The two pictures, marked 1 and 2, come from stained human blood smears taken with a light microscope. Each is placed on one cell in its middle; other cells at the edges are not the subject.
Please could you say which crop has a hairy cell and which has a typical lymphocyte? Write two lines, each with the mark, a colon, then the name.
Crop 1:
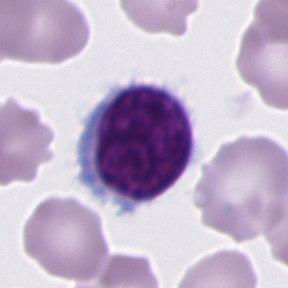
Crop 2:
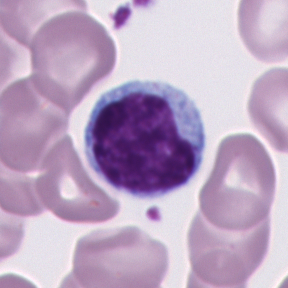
1: hairy cell
2: typical lymphocyte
